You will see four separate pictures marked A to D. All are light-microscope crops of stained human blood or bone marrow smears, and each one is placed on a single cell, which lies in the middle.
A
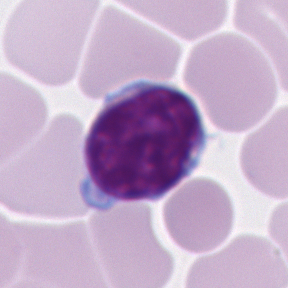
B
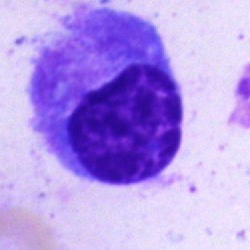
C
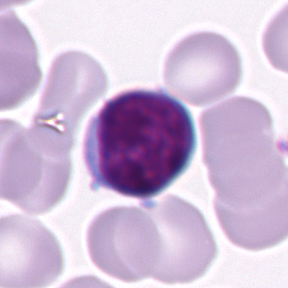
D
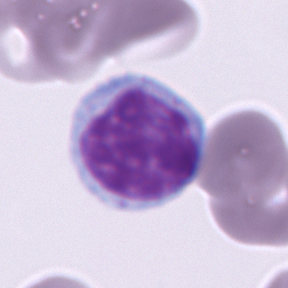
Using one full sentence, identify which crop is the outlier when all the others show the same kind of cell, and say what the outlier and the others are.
Crop B is the outlier, with a plasma cell against lymphocytes in the rest.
